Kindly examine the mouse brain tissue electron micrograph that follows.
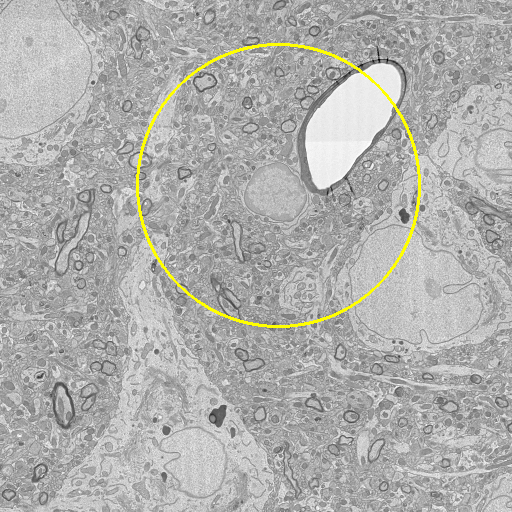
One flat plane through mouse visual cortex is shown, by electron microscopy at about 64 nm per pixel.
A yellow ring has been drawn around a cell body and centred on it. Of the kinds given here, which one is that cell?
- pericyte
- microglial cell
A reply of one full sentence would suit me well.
The micrograph's ringed cell, the one at the ring's centre, is a microglial cell.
